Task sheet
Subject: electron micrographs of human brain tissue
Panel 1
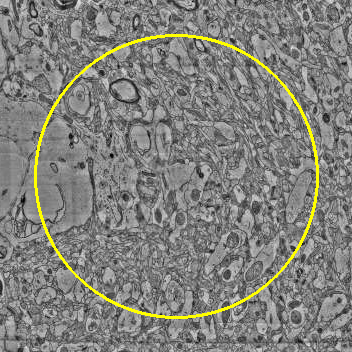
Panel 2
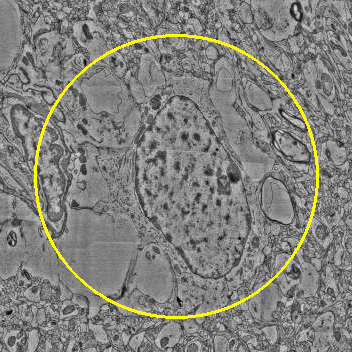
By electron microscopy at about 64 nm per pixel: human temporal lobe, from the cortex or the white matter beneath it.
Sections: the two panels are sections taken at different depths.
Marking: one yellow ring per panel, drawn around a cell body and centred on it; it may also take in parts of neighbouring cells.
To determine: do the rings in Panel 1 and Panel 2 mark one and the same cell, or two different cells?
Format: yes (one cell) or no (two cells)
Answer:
yes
